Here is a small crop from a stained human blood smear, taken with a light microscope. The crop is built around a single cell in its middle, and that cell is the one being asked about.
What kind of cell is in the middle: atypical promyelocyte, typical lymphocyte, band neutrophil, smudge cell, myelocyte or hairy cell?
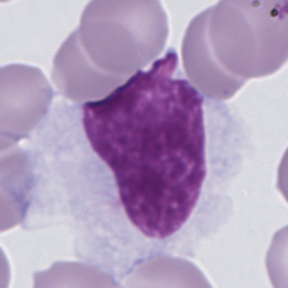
hairy cell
